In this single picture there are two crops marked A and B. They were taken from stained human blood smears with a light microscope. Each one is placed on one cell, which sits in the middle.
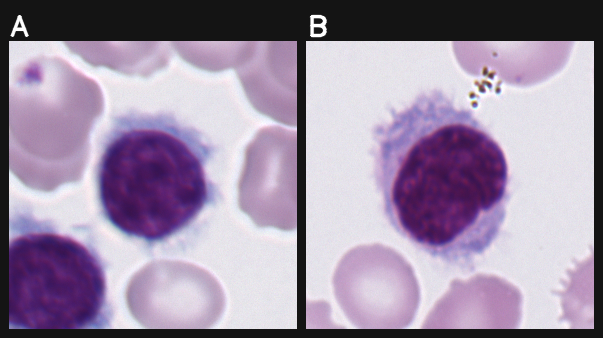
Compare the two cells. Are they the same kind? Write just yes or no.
yes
